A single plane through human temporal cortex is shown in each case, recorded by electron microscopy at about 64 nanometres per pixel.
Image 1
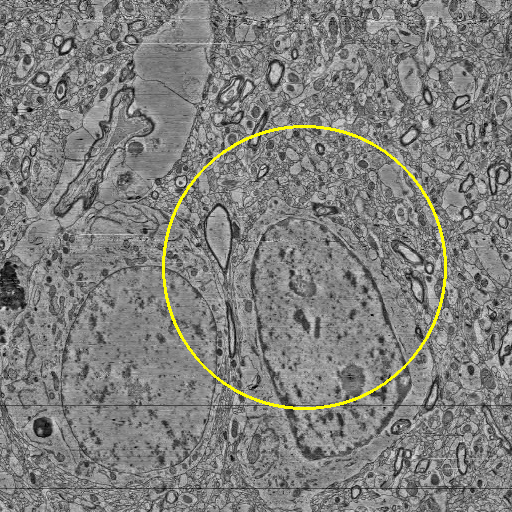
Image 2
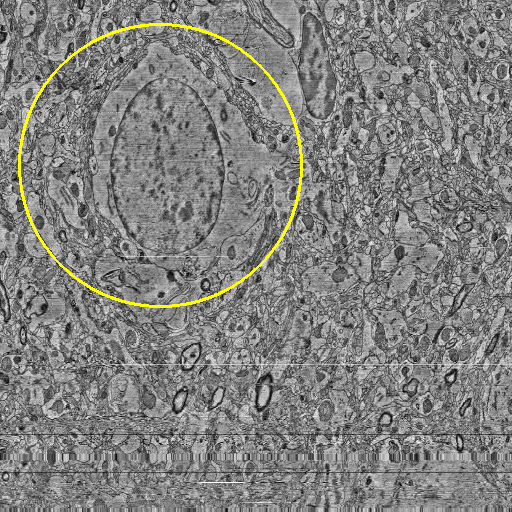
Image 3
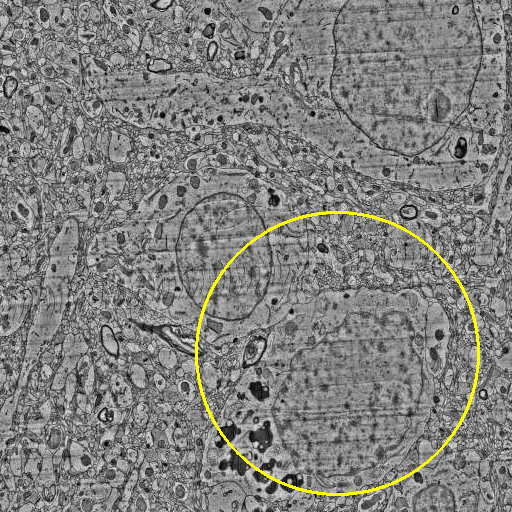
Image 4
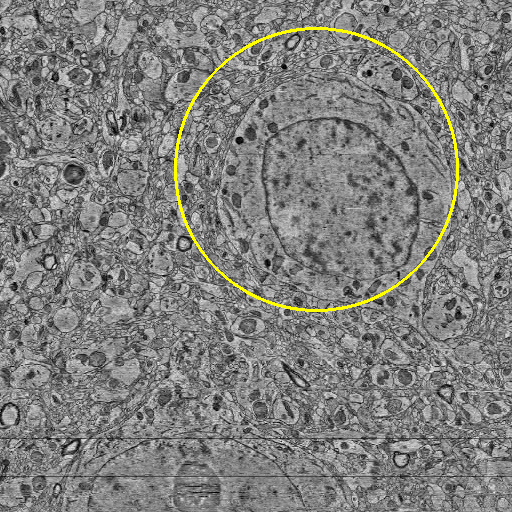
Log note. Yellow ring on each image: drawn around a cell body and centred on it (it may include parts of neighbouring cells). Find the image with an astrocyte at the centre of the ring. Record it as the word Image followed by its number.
Image 2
